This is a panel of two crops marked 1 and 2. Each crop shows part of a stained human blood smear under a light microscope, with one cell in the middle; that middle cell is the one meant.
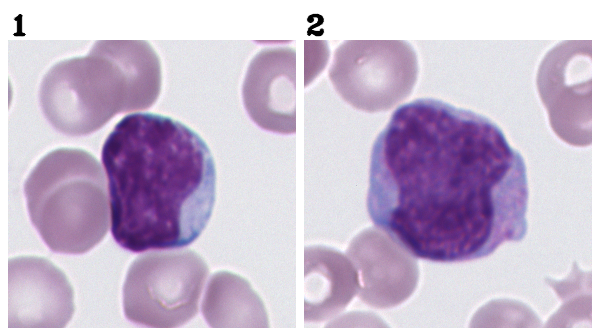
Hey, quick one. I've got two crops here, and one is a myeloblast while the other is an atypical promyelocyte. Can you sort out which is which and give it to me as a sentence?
Crop 1 is a myeloblast; crop 2, on the other hand, is an atypical promyelocyte.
